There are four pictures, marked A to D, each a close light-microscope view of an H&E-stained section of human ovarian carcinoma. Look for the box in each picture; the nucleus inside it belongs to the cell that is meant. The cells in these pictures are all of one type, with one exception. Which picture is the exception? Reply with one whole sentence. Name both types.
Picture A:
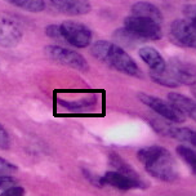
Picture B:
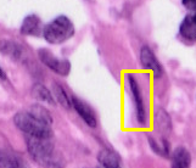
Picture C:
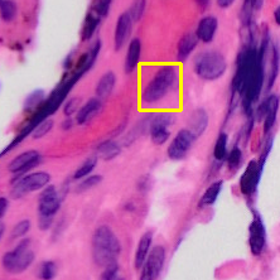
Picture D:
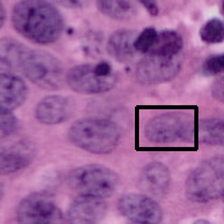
All pictures except B show endothelial cells; picture B shows a fibroblast.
